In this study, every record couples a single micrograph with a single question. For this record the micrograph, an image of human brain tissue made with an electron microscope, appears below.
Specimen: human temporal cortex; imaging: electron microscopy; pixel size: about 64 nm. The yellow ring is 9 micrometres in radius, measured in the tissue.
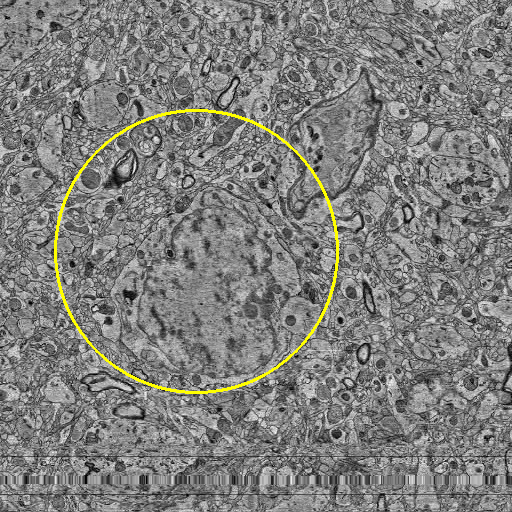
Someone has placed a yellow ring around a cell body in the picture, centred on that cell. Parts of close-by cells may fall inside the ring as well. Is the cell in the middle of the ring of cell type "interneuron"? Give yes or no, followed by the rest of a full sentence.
Yes, the cell centred in the ring shown in the picture does have that cell type.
